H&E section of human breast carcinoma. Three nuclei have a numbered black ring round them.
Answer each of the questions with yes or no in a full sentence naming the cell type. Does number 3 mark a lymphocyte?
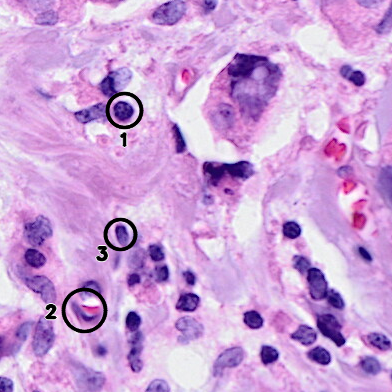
Yes, the cell with the mark numbered 3 is a lymphocyte.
